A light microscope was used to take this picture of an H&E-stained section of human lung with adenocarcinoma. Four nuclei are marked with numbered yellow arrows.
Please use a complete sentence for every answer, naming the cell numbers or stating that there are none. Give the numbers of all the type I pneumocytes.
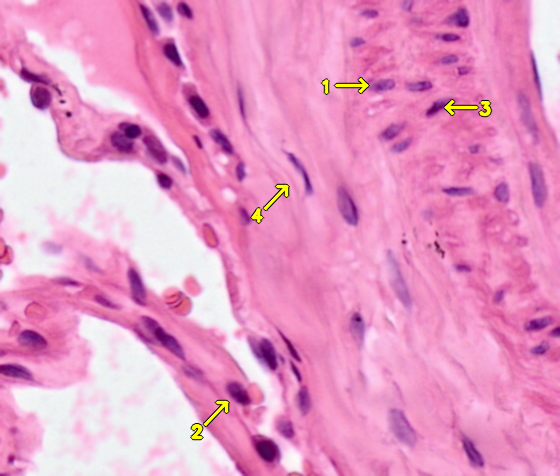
In short, cell 2 is a type I pneumocyte; the others are not.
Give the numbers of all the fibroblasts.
The cell labelled 4 is a fibroblast, while the remaining numbered cells are not.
